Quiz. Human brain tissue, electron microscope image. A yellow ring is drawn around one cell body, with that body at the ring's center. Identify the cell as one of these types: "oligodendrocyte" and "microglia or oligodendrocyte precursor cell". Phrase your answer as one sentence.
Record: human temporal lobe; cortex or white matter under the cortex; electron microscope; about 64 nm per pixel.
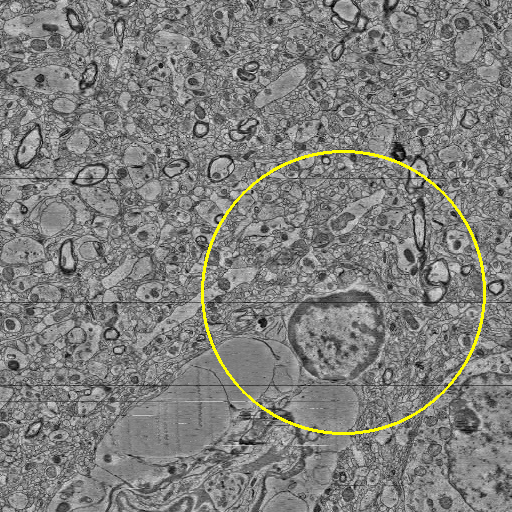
At the center of the ring sits a microglial cell or oligodendrocyte precursor cell.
